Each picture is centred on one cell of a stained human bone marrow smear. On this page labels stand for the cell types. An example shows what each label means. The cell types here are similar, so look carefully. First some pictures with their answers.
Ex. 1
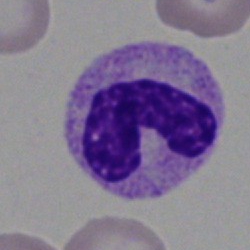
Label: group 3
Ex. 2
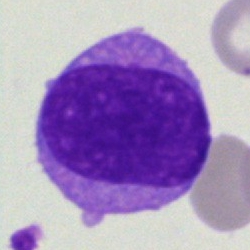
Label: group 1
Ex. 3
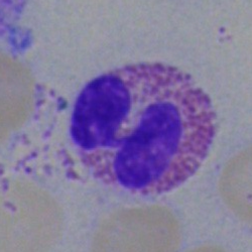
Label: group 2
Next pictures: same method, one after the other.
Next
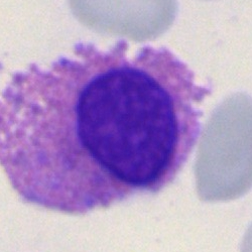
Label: group 2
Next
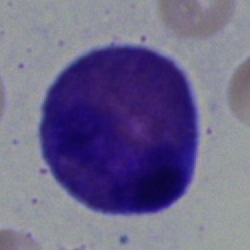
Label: group 2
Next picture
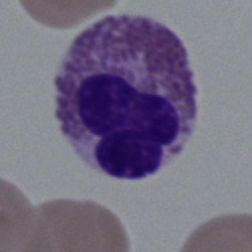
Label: group 2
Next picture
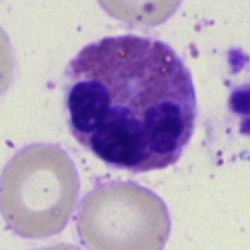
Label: group 2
